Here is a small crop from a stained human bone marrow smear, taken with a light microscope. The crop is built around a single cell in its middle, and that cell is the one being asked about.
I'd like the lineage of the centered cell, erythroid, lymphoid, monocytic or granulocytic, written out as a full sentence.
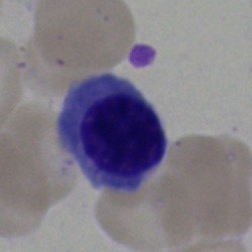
In terms of lineage, the cell at the center is erythroid.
